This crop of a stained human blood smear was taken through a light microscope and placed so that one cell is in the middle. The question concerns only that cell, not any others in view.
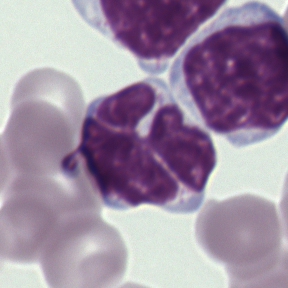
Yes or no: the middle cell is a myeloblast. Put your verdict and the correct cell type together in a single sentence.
No, the central cell is not a myeloblast, being instead a large granular lymphocyte.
